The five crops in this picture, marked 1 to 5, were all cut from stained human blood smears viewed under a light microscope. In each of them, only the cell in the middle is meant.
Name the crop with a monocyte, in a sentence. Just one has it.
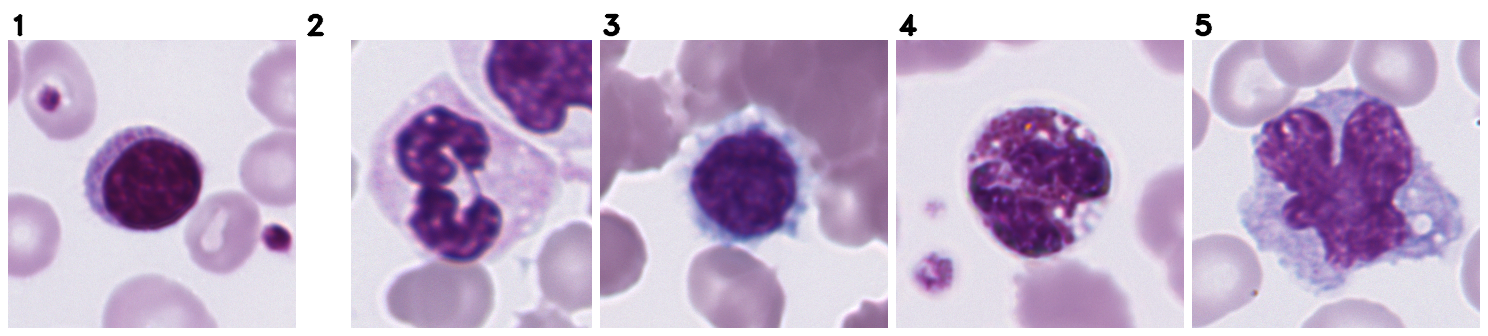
The requested cell, a monocyte, is the one in crop 5.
